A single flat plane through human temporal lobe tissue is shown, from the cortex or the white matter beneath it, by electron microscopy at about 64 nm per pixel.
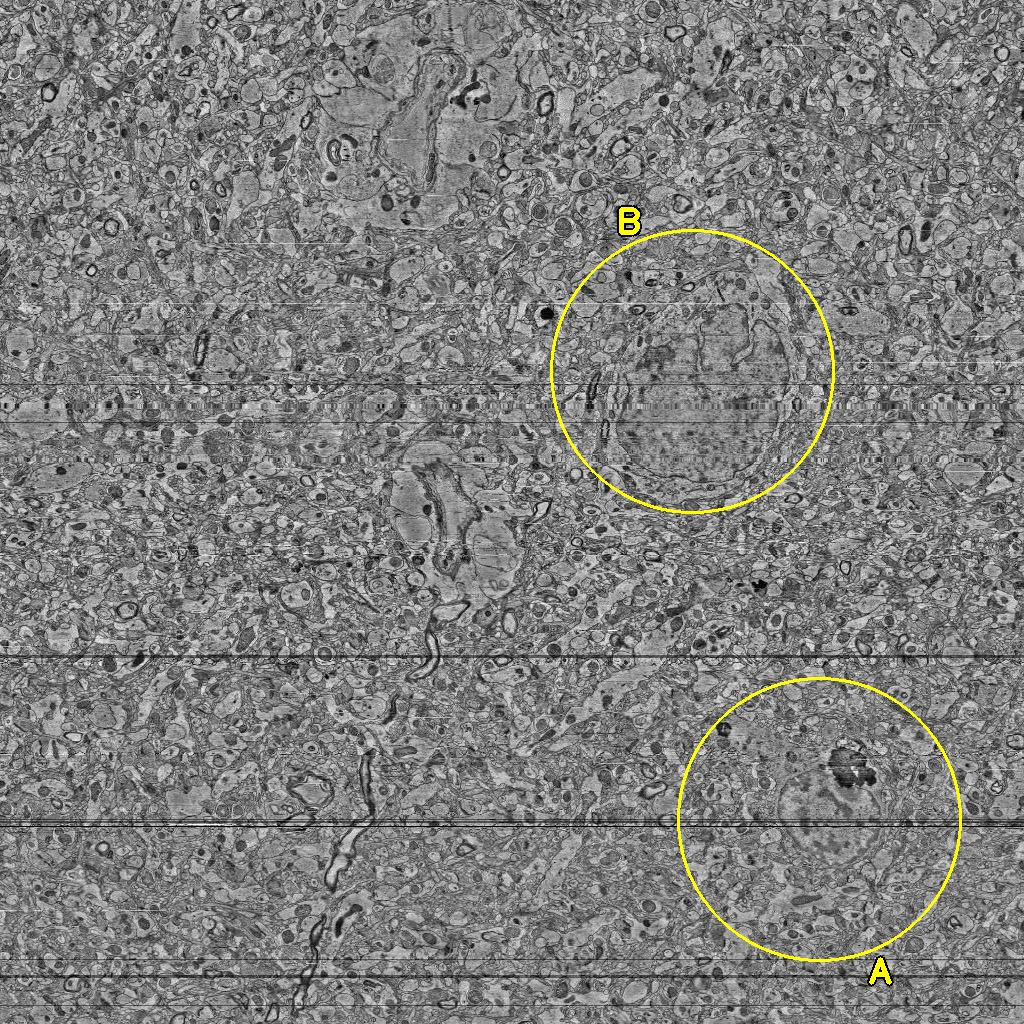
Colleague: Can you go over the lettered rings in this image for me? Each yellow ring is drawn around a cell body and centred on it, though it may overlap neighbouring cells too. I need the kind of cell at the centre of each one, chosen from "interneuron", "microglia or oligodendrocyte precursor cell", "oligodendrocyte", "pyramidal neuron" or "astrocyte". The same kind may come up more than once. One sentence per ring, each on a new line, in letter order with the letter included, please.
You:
Ring A marks the cell body of an oligodendrocyte.
Ring B marks the cell body of an interneuron.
